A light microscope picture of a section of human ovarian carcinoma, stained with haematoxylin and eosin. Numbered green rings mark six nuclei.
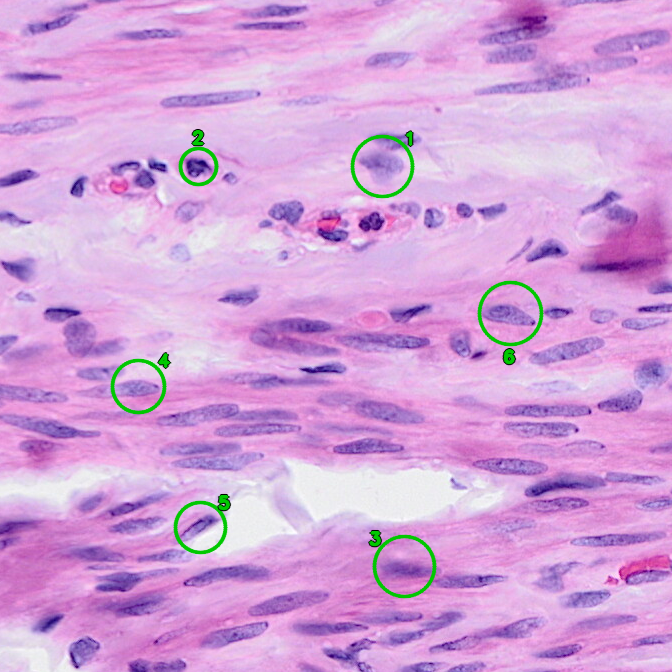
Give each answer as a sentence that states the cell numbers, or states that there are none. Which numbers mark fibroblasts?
Response: cell 1 is a fibroblast, and no other numbered cell is.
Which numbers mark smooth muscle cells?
The cells referred to by numbers 3, 4, 5 and 6 are smooth muscle cells.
